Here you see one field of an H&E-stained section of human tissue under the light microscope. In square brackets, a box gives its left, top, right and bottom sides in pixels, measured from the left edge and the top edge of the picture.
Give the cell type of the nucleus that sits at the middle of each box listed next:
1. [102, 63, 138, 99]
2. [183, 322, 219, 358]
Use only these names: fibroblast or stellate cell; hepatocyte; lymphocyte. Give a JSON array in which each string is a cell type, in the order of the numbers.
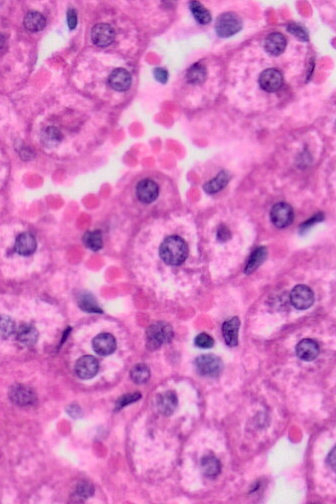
["hepatocyte", "lymphocyte"]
